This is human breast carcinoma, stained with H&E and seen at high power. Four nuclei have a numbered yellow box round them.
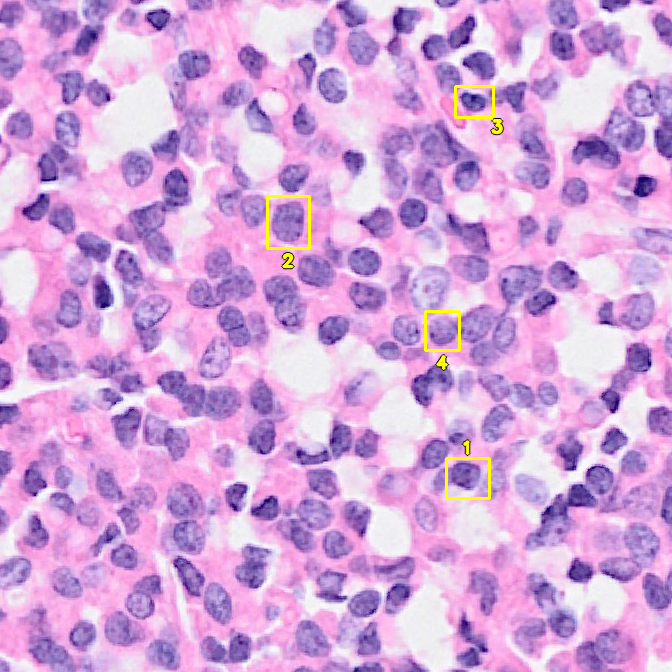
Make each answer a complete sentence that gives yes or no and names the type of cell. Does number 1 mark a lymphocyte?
No, number 1 points to a carcinoma cell and not to a lymphocyte.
